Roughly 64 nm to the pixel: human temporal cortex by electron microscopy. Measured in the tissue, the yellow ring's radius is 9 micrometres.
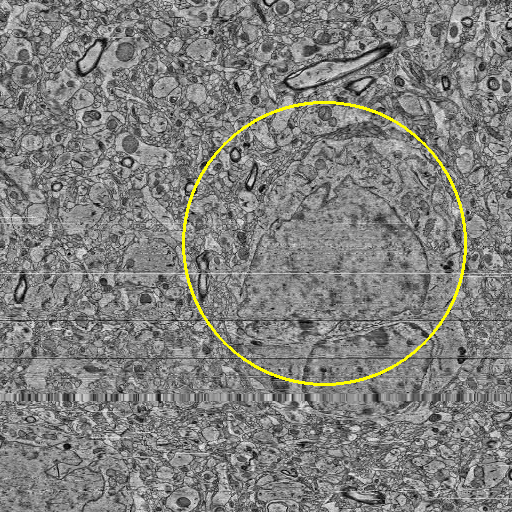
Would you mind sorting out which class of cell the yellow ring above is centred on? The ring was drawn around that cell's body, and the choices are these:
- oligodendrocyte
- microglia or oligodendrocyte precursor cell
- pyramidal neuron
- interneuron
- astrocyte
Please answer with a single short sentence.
This is the cell body of an interneuron.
